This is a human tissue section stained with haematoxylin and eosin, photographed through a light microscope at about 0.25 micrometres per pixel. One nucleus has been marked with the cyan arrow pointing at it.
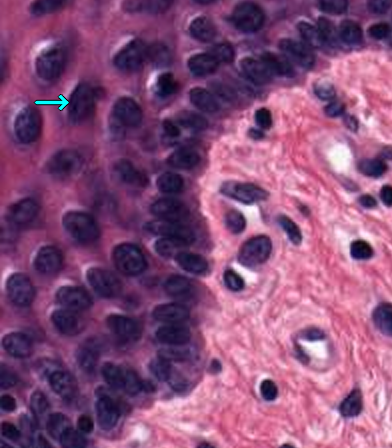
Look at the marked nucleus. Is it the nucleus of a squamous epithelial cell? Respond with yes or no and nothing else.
yes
